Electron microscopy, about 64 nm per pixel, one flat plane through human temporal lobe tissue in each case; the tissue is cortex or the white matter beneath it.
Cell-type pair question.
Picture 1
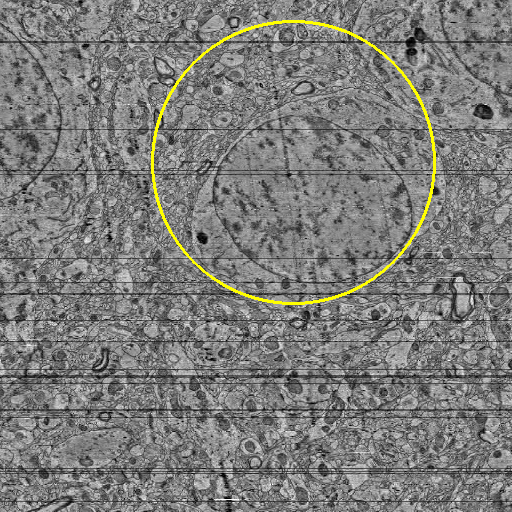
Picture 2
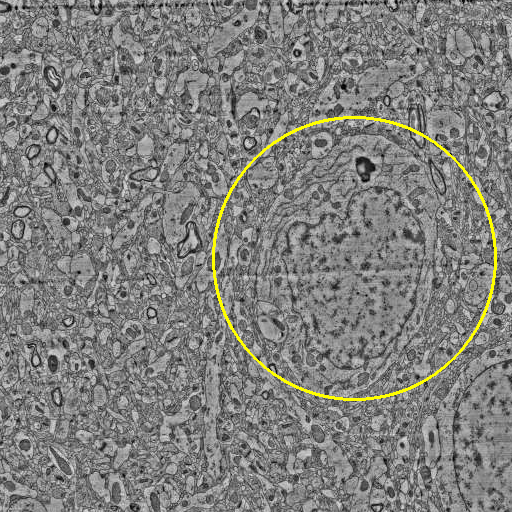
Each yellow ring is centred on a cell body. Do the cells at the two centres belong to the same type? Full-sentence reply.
No, the two cells belong to two types.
